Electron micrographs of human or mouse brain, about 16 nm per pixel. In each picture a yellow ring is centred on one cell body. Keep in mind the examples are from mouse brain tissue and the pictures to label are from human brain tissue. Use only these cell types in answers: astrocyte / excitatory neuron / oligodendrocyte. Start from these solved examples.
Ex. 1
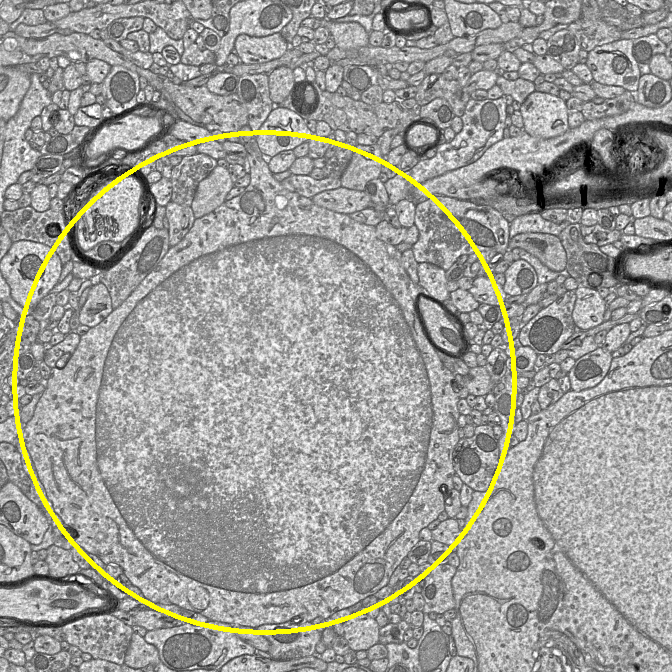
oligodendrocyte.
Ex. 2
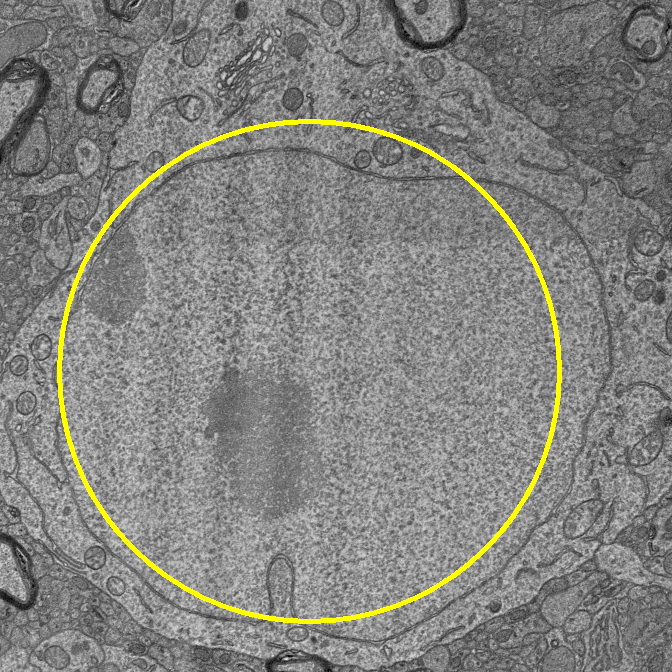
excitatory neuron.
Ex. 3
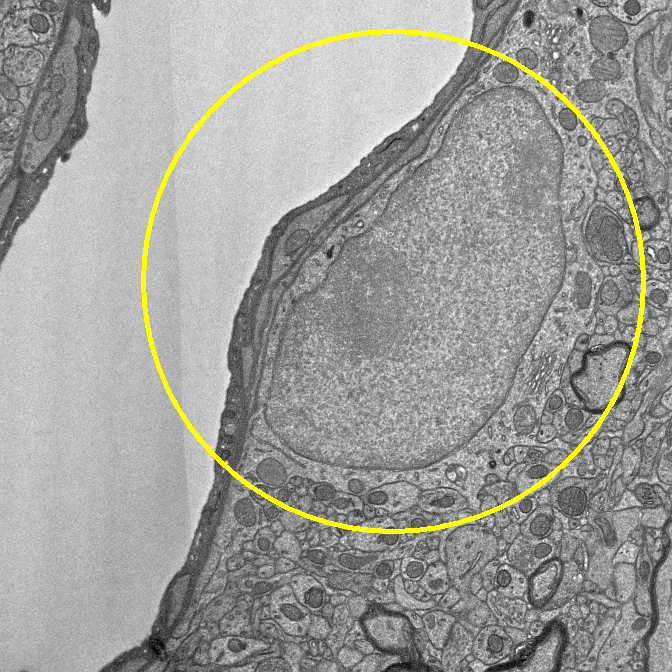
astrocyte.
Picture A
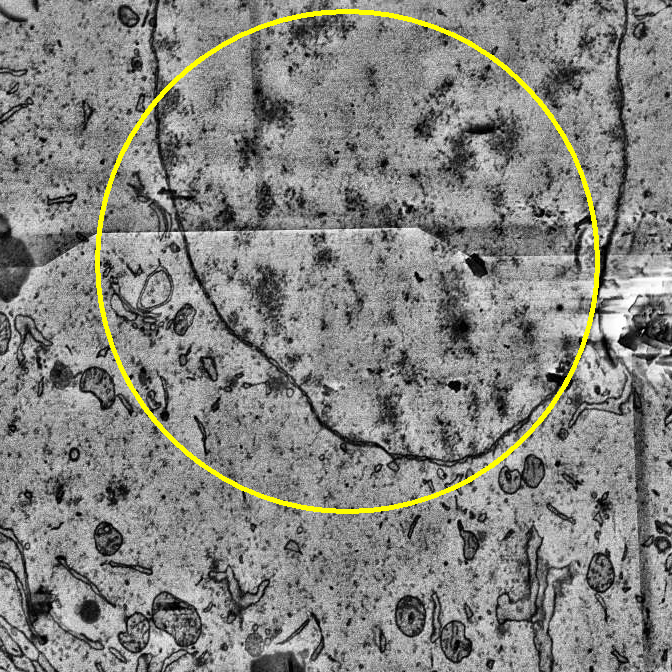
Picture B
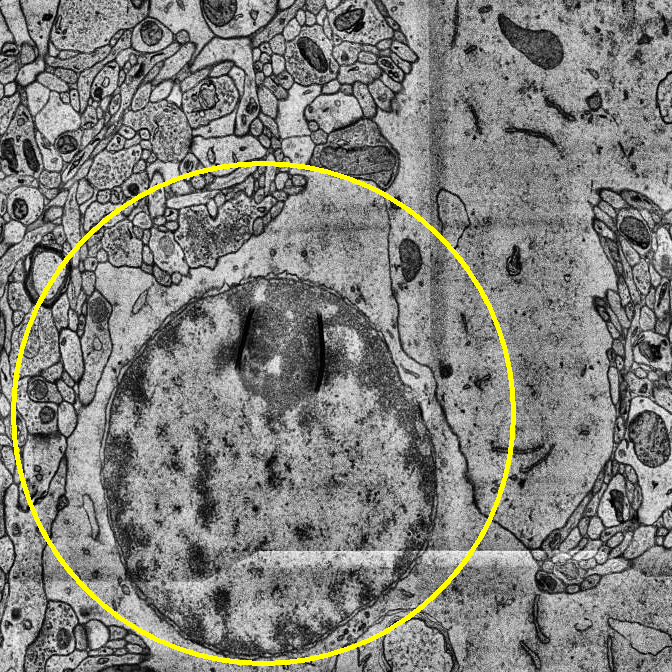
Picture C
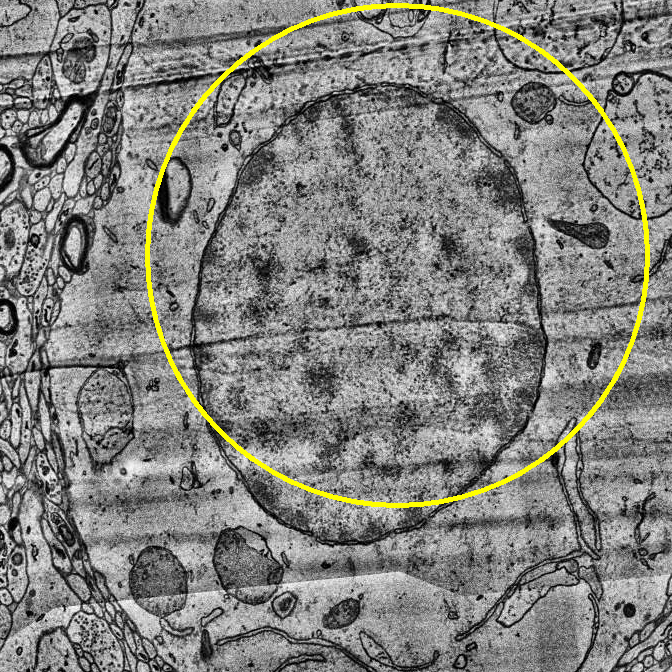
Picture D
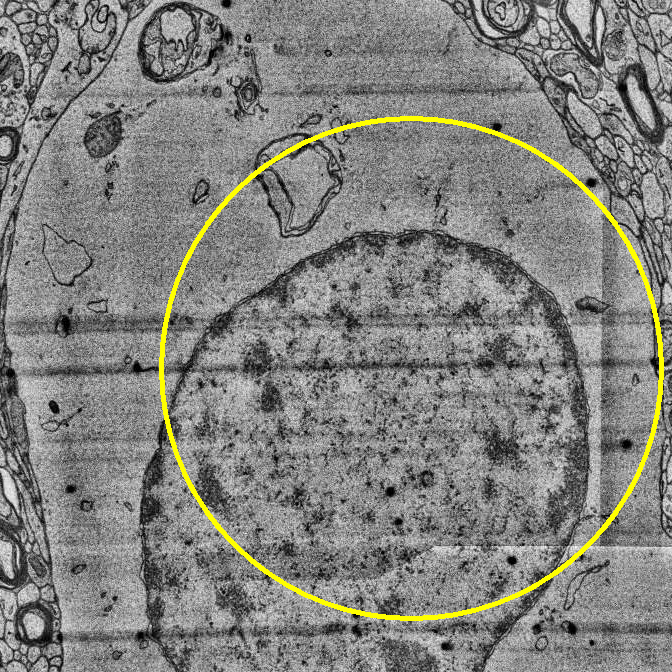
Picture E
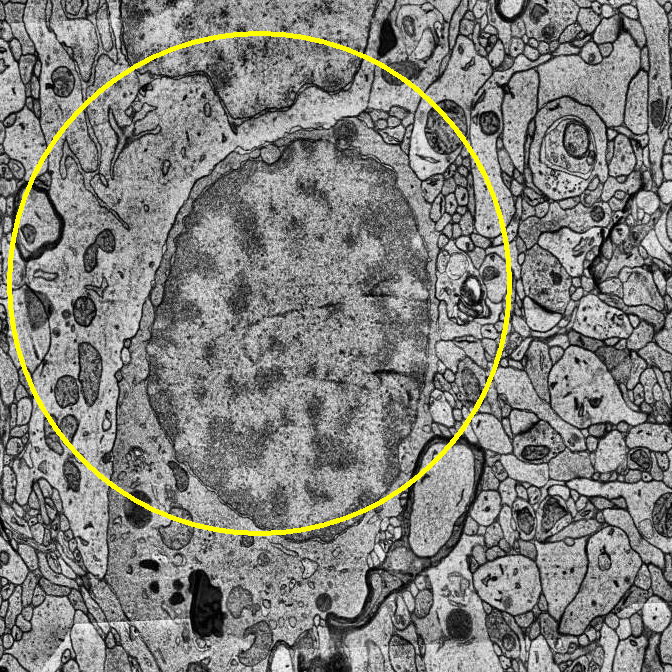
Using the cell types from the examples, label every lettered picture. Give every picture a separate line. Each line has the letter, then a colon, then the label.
A: excitatory neuron.
B: astrocyte.
C: astrocyte.
D: astrocyte.
E: oligodendrocyte.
